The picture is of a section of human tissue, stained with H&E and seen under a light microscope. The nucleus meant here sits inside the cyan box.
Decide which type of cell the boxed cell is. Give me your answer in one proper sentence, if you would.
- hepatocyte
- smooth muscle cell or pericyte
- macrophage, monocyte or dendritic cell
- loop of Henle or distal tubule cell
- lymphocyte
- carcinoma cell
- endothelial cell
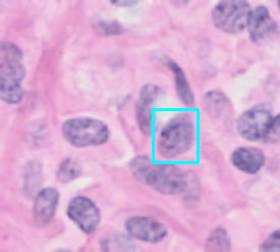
So far as cell type goes, the boxed cell is a carcinoma cell.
